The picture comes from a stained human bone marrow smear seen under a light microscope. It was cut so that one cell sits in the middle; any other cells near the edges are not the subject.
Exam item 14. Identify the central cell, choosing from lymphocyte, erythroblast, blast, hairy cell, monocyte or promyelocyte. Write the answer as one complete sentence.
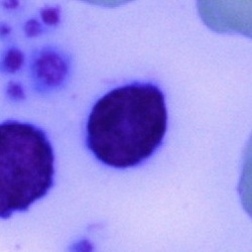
The cell occupying the middle of the crop is a lymphocyte.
